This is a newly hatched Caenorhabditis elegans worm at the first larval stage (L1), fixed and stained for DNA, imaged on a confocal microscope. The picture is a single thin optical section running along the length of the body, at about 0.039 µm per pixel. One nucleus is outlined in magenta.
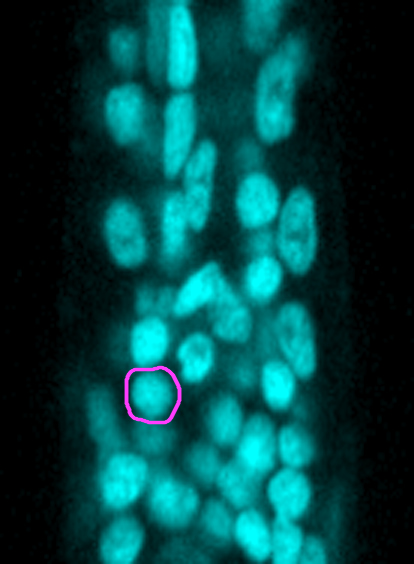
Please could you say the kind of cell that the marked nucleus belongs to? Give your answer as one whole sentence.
The marked nucleus is that of a neuron.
